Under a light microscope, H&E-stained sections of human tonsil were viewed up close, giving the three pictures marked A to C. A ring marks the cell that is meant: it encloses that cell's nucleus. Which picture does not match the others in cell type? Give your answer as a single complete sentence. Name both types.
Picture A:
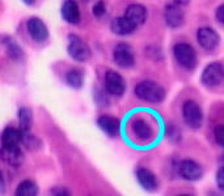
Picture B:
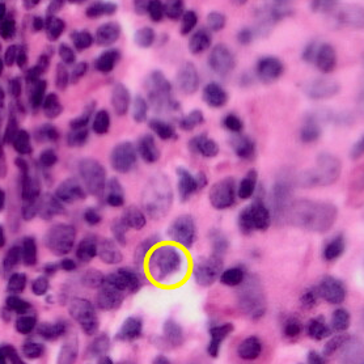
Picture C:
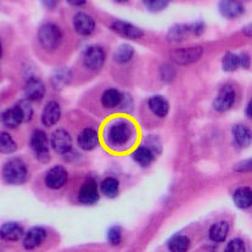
The different one is picture B; it shows a proliferating B cell, whereas all the others show plasma cells.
